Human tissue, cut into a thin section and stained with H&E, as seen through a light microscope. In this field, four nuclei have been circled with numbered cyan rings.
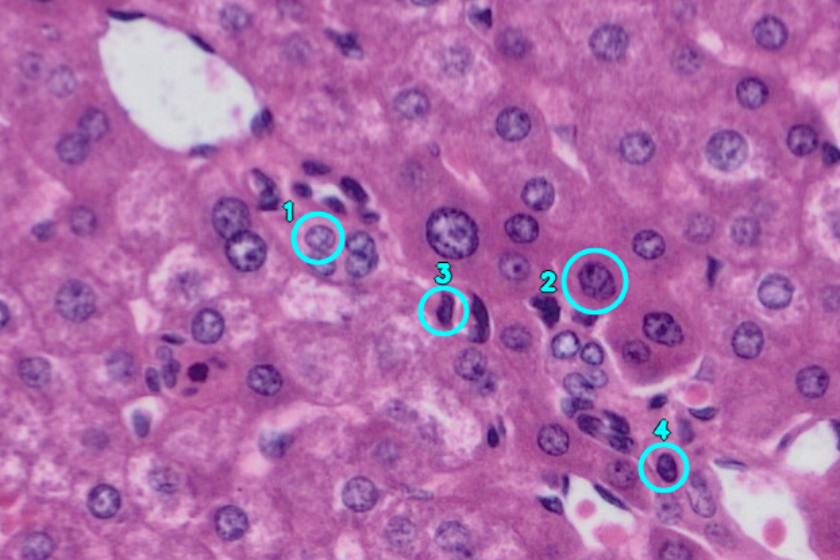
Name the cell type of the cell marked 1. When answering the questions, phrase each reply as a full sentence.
That cell with number 1 is a cholangiocyte.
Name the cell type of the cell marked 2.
The cell that goes by number 2 is a hepatocyte.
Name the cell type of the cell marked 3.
The cell indicated with the number 3 is classed as a fibroblast or stellate cell.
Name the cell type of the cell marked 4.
The nucleus with number 4 is that of a cholangiocyte.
